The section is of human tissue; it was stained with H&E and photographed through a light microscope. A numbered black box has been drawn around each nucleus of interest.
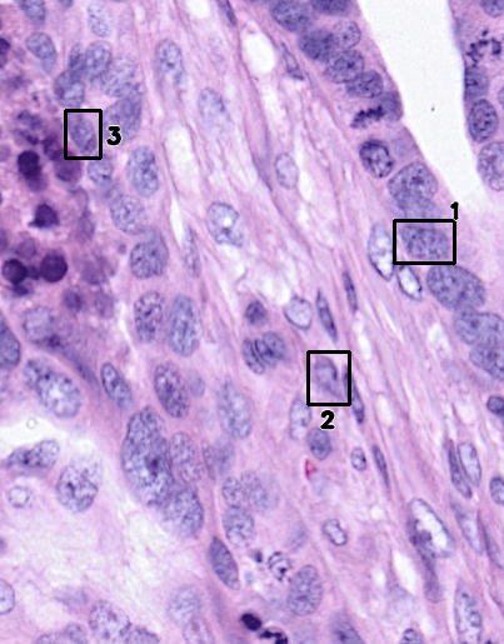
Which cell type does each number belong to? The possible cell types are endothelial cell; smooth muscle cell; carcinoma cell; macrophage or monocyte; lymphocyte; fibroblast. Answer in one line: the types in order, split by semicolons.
carcinoma cell; fibroblast; carcinoma cell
